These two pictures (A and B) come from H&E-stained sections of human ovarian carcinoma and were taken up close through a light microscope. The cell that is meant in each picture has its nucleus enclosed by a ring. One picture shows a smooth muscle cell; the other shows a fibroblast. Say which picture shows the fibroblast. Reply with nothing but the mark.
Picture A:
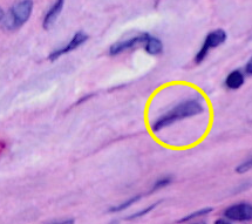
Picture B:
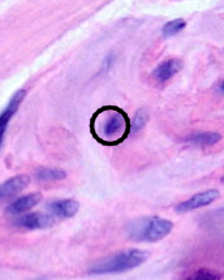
A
